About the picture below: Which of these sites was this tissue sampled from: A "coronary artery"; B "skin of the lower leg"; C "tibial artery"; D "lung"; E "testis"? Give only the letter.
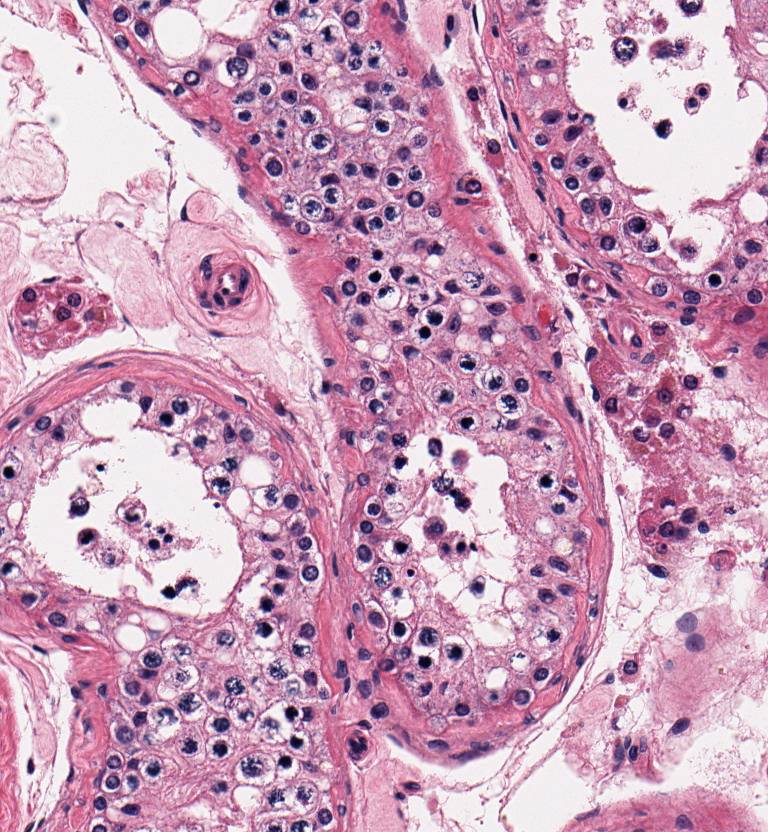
E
